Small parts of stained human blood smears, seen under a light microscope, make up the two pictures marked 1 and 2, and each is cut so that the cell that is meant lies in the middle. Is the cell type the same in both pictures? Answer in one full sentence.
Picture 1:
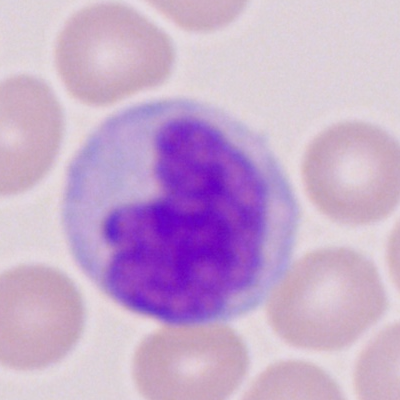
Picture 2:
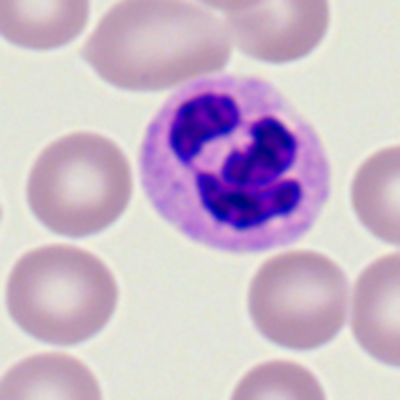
No; the cell in picture 1 is a monocyte, while the one in picture 2 is a segmented neutrophil.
